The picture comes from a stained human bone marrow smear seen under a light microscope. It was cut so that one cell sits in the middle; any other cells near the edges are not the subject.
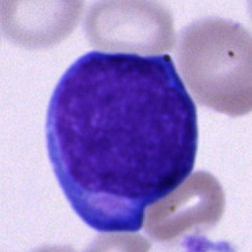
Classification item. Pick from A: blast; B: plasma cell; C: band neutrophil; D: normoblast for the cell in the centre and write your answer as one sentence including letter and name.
In the middle of the crop is a blast; option A is therefore correct.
